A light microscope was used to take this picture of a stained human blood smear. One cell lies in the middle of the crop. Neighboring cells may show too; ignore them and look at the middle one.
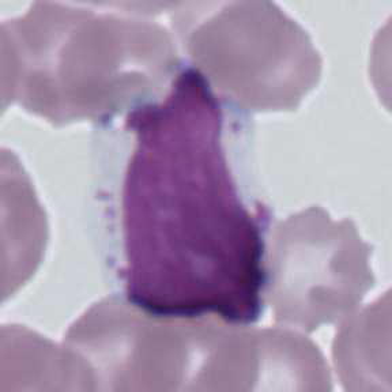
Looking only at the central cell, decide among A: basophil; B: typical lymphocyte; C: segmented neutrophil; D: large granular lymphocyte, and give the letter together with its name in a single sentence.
Option D, which names the central cell as a large granular lymphocyte, is correct.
